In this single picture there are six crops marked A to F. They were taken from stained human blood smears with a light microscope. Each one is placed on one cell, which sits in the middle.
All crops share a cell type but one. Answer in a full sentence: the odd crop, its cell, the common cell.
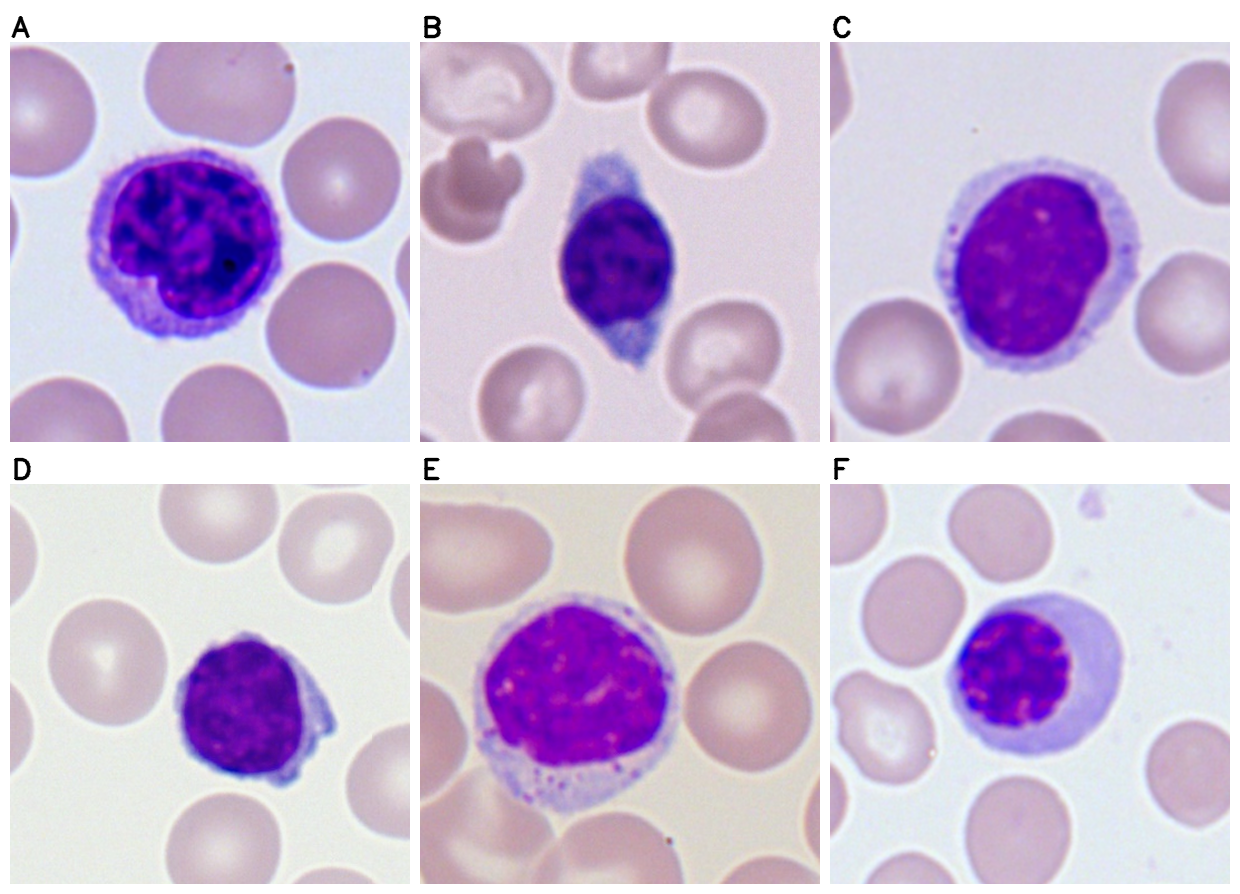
Crop F is singled out as a normoblast, and all of the other crops show lymphocytes.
